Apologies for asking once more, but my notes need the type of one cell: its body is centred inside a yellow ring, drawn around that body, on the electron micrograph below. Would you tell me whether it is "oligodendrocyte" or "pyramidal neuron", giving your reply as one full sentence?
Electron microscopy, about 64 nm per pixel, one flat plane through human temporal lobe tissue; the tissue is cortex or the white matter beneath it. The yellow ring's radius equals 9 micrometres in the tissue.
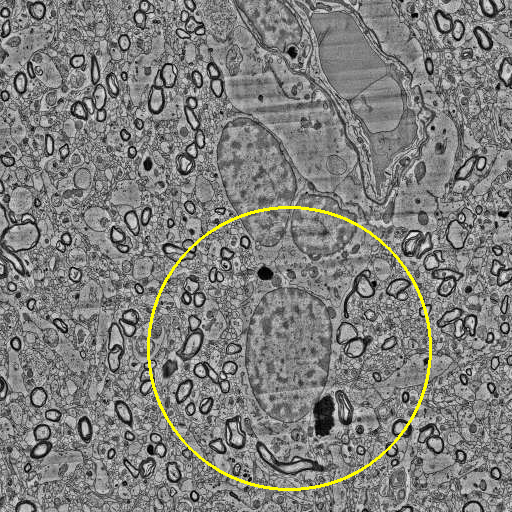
The cell that the yellow ring is centred on is an oligodendrocyte in this micrograph.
